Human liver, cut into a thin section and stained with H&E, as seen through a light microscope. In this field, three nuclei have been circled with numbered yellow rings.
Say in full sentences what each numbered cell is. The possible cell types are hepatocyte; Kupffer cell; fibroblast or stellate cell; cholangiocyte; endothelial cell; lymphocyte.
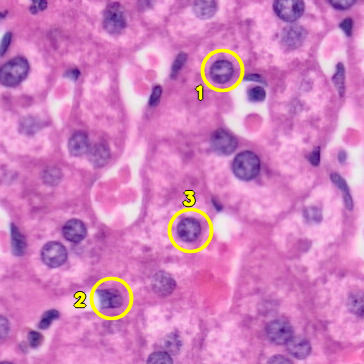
Cells 1 and 3 are hepatocytes. Cell 2 is an endothelial cell.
